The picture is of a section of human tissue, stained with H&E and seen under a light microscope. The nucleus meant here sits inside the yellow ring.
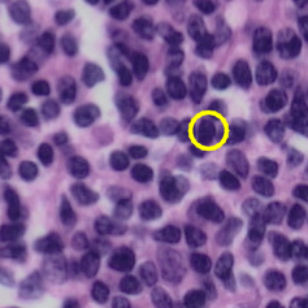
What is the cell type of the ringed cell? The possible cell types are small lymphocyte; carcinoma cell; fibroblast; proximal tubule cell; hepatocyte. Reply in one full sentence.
Cell type answer for this item: the ringed cell is a small lymphocyte.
